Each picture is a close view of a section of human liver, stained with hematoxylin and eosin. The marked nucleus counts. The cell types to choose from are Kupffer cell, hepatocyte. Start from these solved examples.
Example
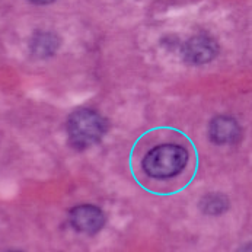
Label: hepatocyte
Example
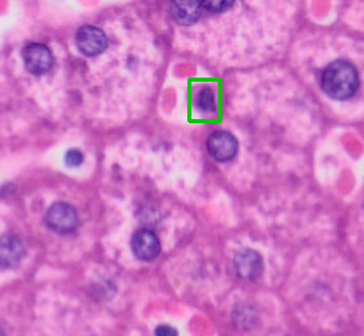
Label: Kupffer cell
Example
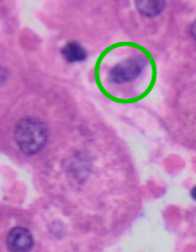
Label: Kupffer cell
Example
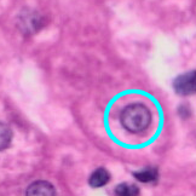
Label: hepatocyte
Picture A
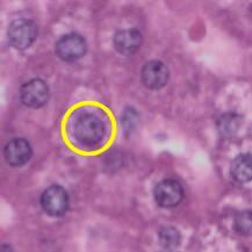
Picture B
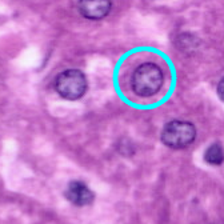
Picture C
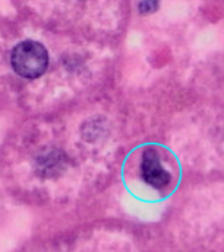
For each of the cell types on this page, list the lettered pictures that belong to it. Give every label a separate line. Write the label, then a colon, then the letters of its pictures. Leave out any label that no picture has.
Kupffer cell: C
hepatocyte: A, B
